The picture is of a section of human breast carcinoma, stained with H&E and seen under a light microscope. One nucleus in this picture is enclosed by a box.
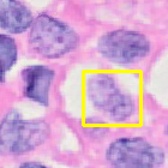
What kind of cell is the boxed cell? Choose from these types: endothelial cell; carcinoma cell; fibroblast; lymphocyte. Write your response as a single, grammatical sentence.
In short, the boxed cell on this section is a carcinoma cell.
